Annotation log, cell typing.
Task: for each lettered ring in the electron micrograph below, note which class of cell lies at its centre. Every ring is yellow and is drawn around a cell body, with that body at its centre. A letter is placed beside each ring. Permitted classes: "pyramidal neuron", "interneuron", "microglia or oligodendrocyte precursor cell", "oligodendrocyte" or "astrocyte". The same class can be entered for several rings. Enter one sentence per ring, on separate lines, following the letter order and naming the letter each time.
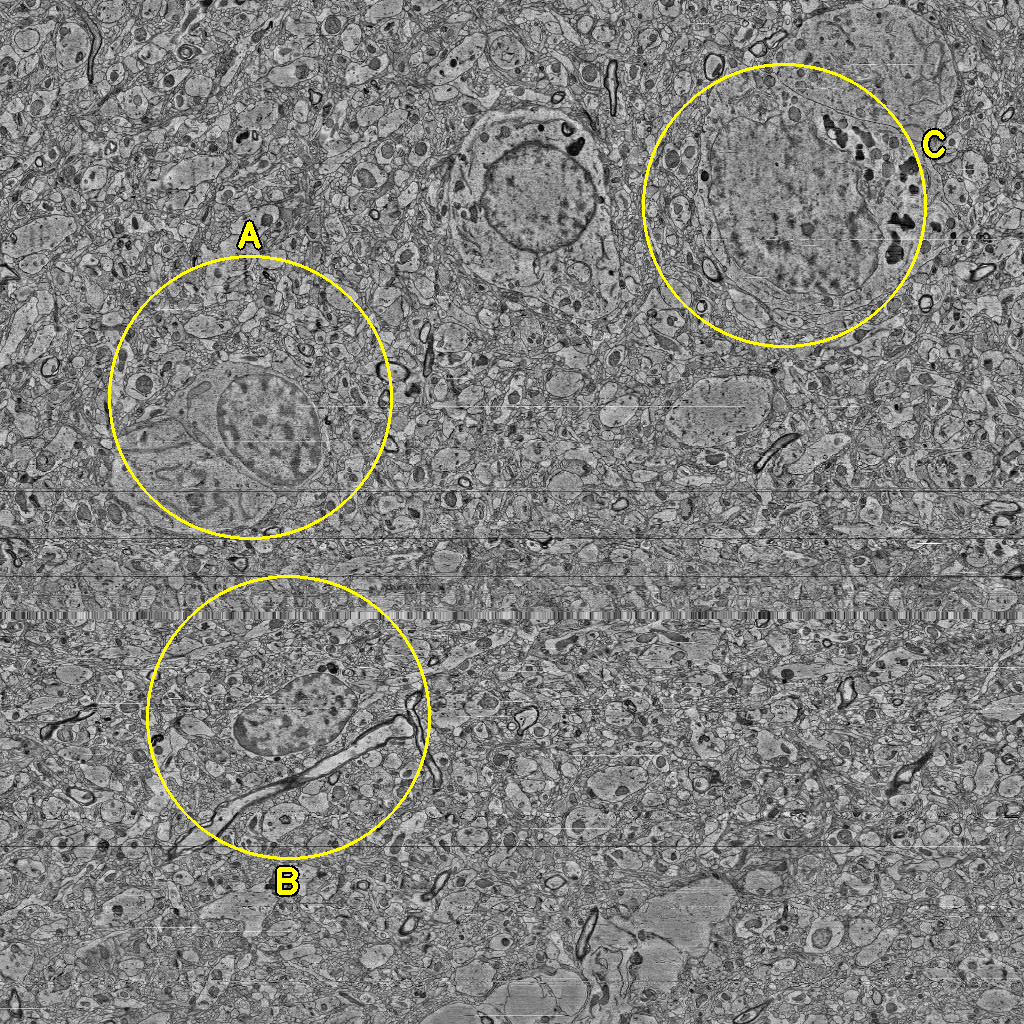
The cell at the centre of ring A is an oligodendrocyte.
The cell at the centre of ring B is a microglial cell or oligodendrocyte precursor cell.
The cell at the centre of ring C is an interneuron.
